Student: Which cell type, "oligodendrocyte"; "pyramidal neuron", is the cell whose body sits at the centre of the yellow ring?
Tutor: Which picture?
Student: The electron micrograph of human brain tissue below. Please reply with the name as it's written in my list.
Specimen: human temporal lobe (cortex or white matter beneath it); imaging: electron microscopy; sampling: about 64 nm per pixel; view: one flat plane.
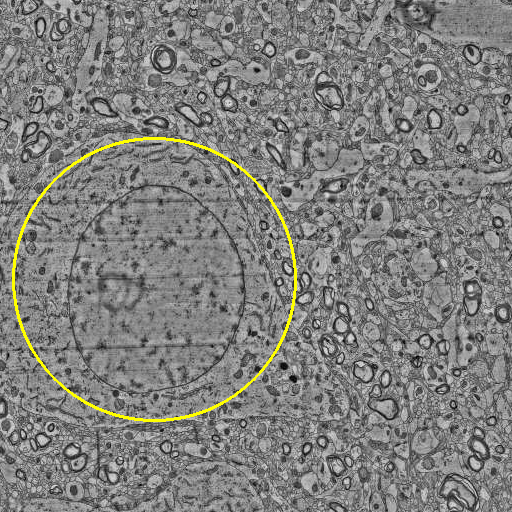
pyramidal neuron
